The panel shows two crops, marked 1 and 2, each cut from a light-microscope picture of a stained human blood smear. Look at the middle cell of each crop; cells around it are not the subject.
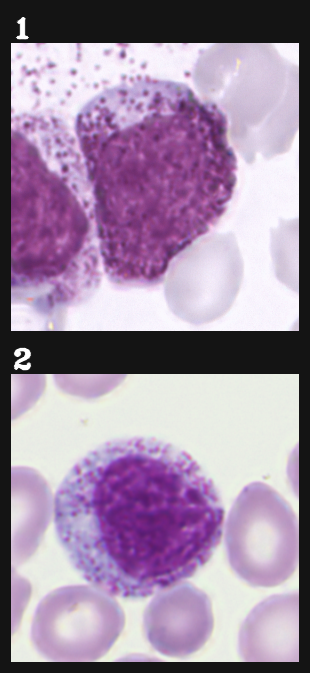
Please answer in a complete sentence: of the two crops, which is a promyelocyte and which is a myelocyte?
What is seen in crop 1 is a promyelocyte; what is seen in crop 2 is a myelocyte.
